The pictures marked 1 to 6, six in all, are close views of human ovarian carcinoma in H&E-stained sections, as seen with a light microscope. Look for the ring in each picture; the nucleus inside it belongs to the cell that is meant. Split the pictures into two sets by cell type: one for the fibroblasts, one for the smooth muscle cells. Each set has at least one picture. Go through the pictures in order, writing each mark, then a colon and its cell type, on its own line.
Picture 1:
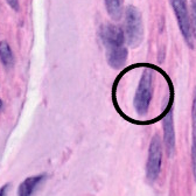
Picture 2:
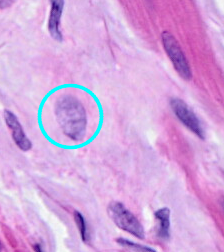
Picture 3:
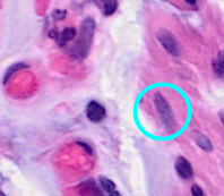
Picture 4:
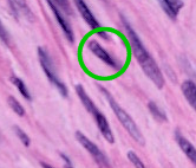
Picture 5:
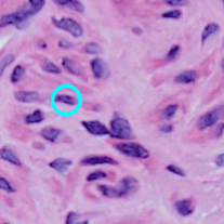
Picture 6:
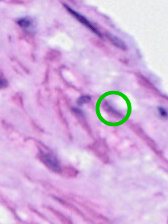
1: smooth muscle cell
2: fibroblast
3: smooth muscle cell
4: smooth muscle cell
5: smooth muscle cell
6: fibroblast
